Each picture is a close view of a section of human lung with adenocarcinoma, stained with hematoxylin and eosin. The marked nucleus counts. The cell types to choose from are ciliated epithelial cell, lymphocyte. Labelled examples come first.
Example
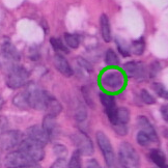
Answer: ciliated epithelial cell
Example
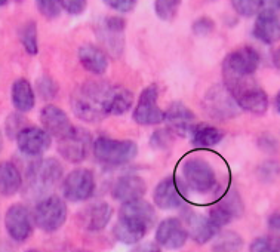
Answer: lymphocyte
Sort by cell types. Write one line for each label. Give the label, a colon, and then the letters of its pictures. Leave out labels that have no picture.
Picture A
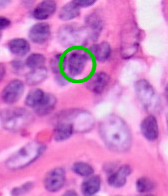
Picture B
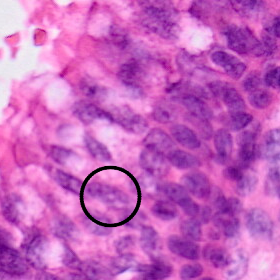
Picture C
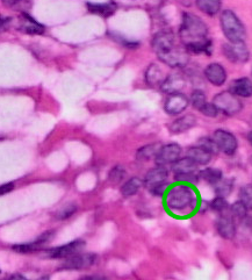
ciliated epithelial cell: B, C
lymphocyte: A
